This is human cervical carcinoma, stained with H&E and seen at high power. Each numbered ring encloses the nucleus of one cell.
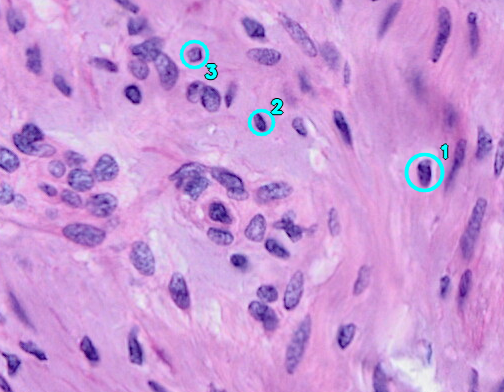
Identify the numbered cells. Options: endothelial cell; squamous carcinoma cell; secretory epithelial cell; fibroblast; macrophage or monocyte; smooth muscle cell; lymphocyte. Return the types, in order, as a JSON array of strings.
["lymphocyte", "fibroblast", "fibroblast"]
